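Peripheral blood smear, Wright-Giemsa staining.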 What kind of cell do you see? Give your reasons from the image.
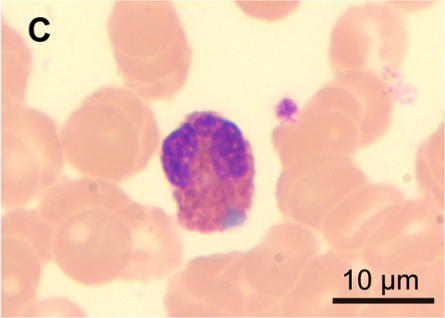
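The central cell's cytoplasm is packed with orange-red granules. Its nucleus is dark purple and lobed.
Answer: eosinophils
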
